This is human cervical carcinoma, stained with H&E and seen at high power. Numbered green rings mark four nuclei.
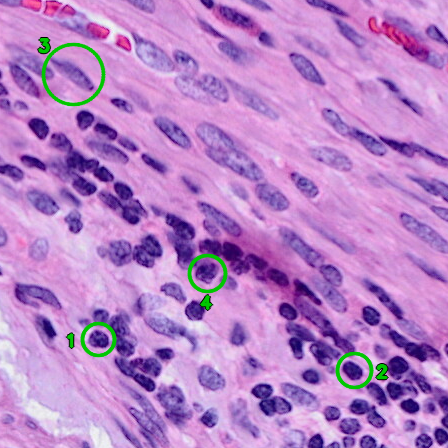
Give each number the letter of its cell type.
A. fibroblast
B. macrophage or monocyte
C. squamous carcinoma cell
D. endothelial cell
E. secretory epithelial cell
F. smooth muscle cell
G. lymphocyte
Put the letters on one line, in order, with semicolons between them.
G; G; A; G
